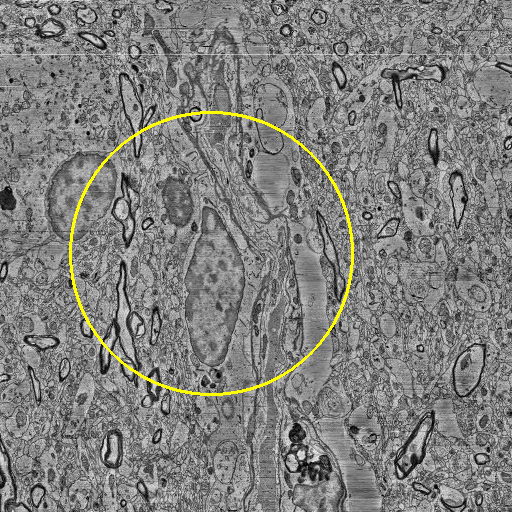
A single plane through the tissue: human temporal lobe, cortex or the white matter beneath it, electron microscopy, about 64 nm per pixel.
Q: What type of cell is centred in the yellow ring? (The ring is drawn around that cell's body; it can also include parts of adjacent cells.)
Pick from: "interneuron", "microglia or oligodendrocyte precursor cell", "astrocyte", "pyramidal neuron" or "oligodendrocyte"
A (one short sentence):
The yellow ring is centred on a microglial cell or oligodendrocyte precursor cell.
